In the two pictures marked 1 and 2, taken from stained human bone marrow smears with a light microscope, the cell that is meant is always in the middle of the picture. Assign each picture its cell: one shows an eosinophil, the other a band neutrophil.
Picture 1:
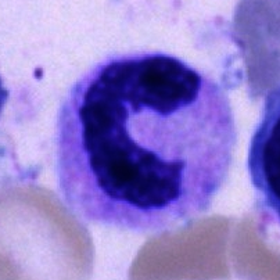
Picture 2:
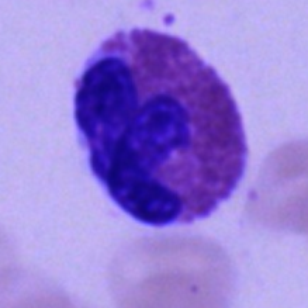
1: band neutrophil
2: eosinophil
